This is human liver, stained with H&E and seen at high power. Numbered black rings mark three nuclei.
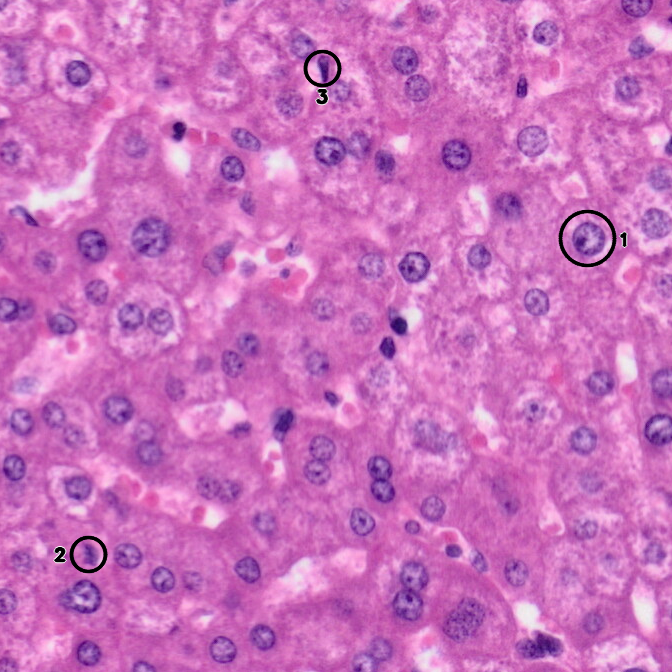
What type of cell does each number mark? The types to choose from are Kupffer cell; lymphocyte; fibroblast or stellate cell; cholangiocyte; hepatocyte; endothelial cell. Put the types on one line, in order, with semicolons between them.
hepatocyte; endothelial cell; endothelial cell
